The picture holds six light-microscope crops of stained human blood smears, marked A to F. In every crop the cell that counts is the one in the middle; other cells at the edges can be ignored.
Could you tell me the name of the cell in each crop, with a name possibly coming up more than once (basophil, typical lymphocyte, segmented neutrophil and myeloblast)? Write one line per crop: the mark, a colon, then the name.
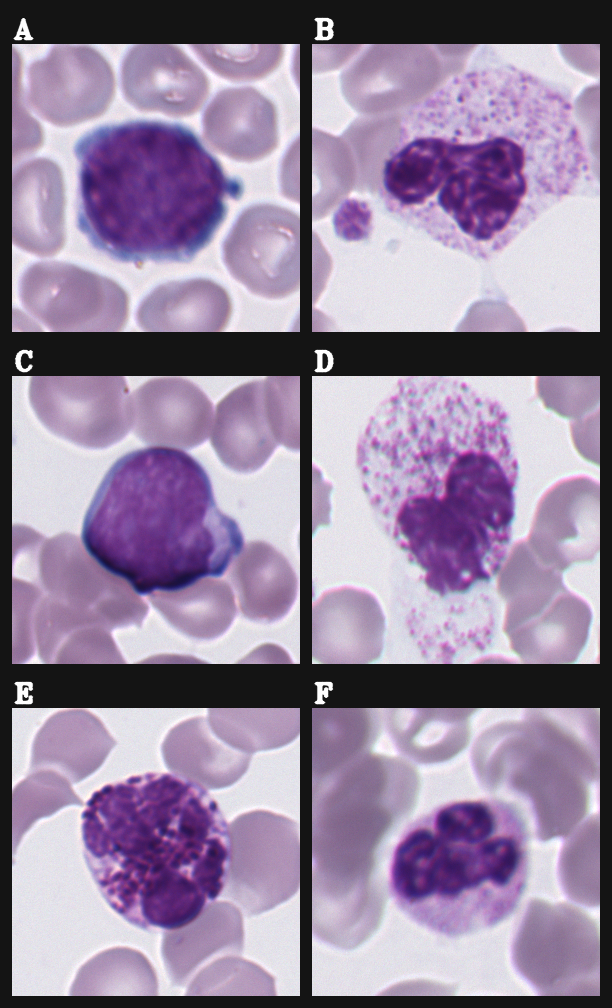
A: myeloblast
B: segmented neutrophil
C: myeloblast
D: segmented neutrophil
E: basophil
F: segmented neutrophil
